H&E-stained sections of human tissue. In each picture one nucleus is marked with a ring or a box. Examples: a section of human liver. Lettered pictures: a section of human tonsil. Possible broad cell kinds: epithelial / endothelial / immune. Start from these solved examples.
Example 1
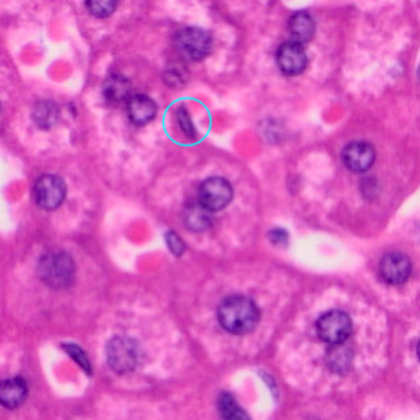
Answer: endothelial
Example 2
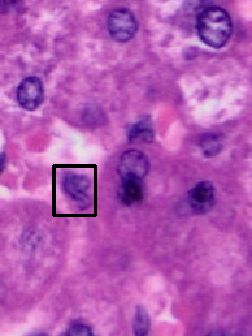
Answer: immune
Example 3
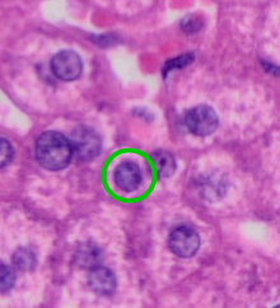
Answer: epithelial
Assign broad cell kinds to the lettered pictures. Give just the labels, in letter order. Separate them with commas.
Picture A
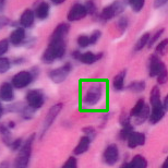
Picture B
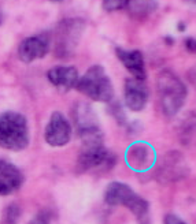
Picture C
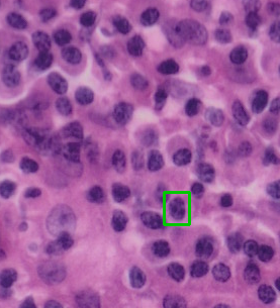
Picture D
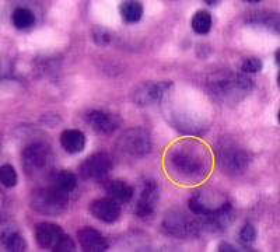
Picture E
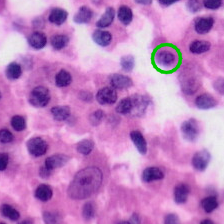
endothelial, immune, immune, epithelial, immune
